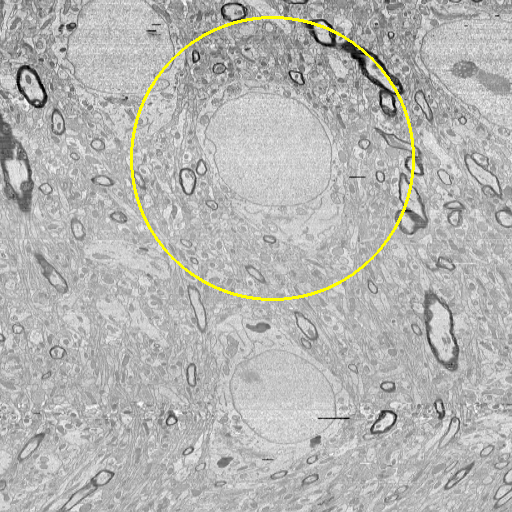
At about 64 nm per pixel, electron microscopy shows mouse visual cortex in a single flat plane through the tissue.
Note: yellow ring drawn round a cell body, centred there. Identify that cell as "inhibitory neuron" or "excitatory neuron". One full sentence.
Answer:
The cell in the middle of the ring is an excitatory neuron.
